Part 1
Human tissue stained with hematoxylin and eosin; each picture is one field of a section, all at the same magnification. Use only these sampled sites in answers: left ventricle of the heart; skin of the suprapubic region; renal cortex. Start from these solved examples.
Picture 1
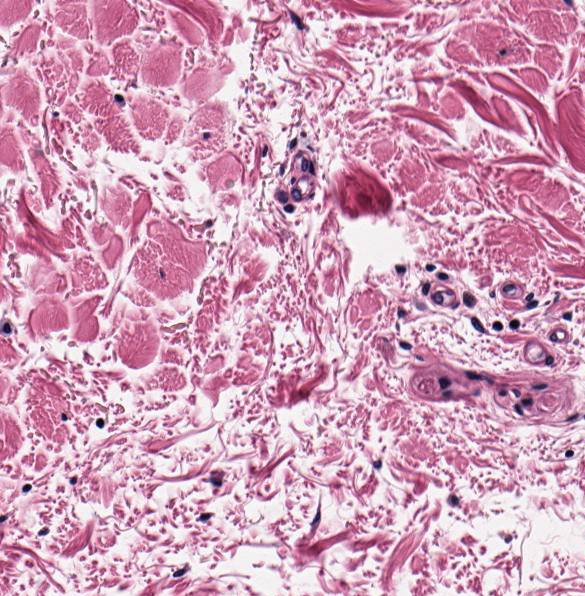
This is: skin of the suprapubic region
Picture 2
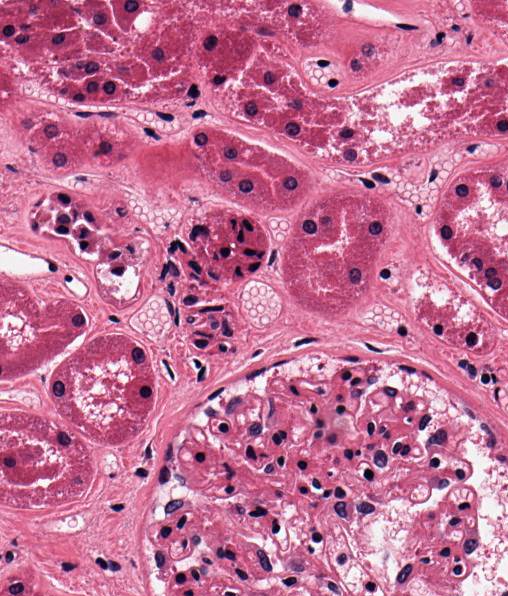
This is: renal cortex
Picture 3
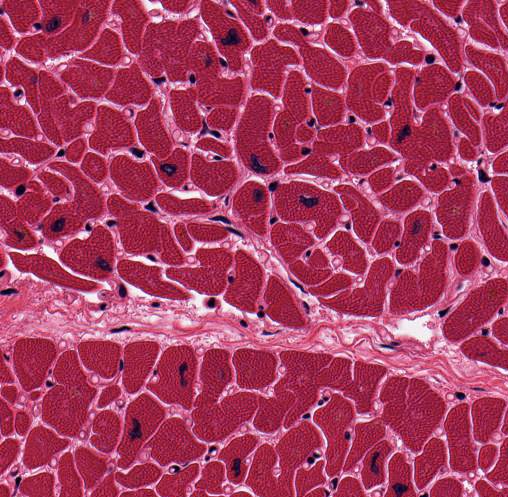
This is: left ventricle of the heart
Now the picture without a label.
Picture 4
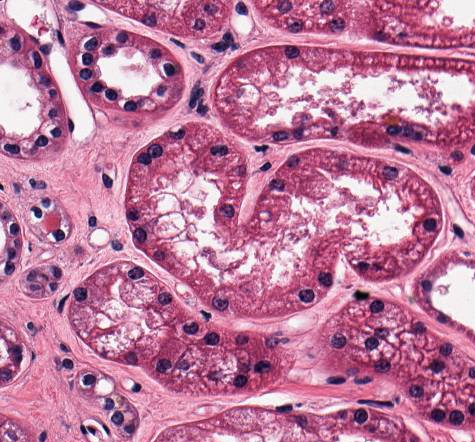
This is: renal cortex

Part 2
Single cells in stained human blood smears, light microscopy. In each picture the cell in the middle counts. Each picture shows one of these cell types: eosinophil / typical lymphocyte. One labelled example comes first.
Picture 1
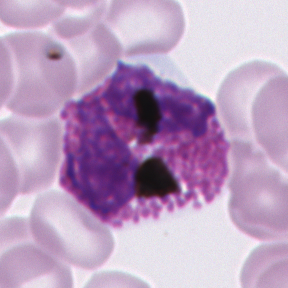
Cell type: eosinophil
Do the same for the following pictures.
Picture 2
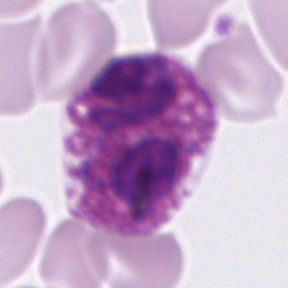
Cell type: eosinophil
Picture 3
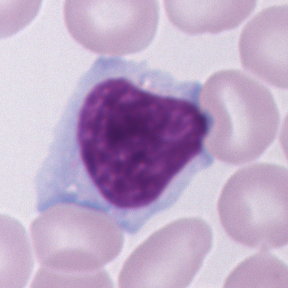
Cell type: typical lymphocyte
